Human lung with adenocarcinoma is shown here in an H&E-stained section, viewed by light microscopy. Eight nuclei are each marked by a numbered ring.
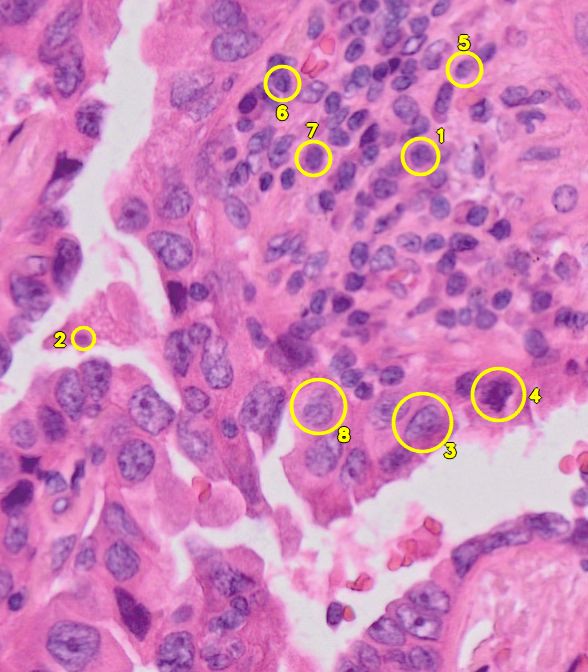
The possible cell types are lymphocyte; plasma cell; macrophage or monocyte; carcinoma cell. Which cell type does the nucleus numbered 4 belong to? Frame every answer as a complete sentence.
What the number 4 marks in this field is a carcinoma cell.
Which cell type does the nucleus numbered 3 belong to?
What the number 3 marks in this field is a carcinoma cell.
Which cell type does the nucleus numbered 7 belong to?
The cell tagged with 7 in this tissue section is a plasma cell.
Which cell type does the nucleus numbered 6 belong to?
The nucleus labeled 6 belongs to a lymphocyte.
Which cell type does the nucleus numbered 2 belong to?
The nucleus labelled 2 belongs to a carcinoma cell.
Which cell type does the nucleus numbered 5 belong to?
To a lymphocyte belongs the nucleus marked 5.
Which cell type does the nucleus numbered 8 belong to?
Cell 8 of the marked set is a carcinoma cell.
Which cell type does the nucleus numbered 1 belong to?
Cell 1, as marked in the section, is a lymphocyte.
